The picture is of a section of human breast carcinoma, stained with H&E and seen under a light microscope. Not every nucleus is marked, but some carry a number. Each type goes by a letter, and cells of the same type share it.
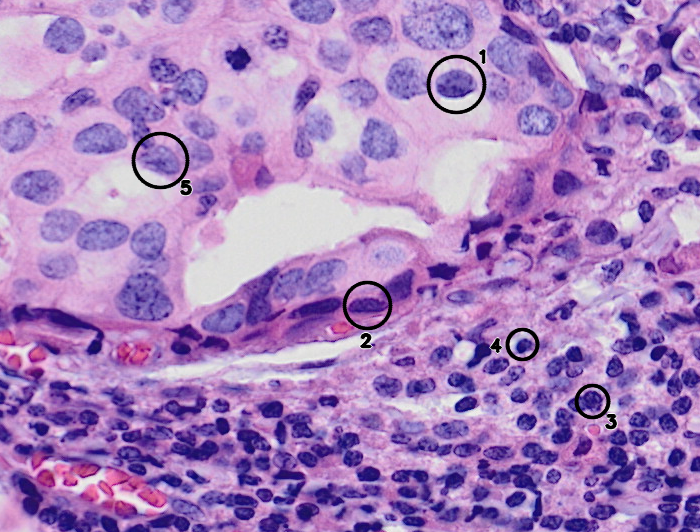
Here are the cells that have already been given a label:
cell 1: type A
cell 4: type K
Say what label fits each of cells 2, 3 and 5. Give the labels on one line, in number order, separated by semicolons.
type A; type K; type A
